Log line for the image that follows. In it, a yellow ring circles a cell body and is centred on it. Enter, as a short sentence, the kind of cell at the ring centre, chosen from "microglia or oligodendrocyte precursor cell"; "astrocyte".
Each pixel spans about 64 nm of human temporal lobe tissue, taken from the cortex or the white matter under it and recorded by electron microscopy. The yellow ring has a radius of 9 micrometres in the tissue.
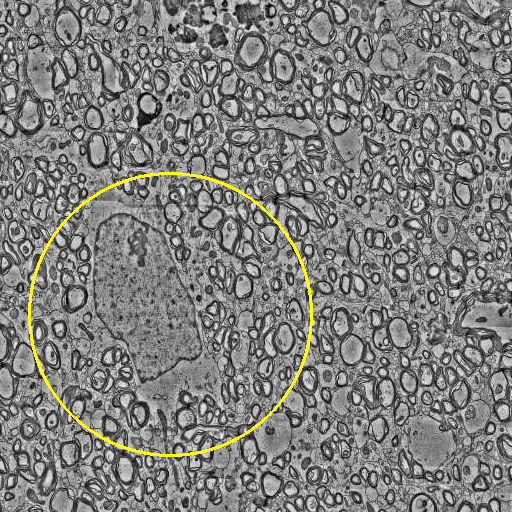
The ring centre is occupied by an astrocyte.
